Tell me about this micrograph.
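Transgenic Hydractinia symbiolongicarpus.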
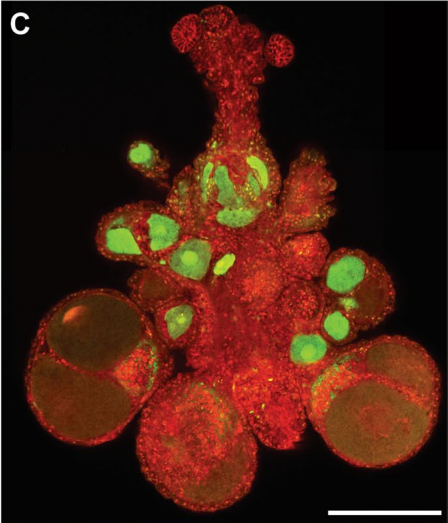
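This is a whole sexual polyp of a colonial hydroid, seen with its tissues glowing red and a subset of large cells glowing green. A narrow upper part ends in small knob-like structures, while the lower body is crowded with rounded sacs budding from it. The biggest sacs, lower down, are filled with large round bodies that glow only faintly, surrounded by a thin red wall.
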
